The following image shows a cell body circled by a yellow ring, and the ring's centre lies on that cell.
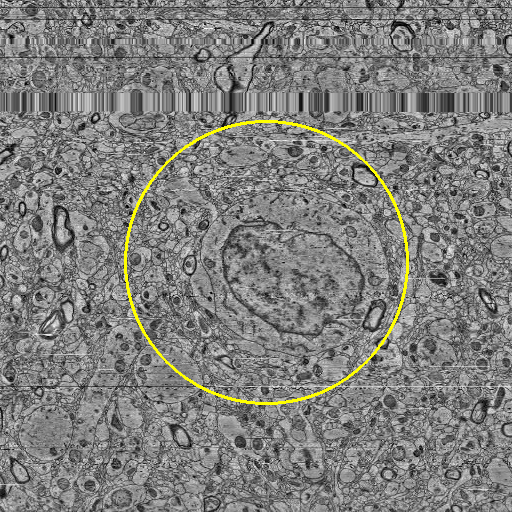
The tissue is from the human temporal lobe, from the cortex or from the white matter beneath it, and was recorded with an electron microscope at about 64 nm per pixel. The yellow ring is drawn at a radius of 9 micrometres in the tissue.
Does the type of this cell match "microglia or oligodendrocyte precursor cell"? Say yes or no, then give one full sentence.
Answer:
No, the cell at the ring's centre in this picture has a different type.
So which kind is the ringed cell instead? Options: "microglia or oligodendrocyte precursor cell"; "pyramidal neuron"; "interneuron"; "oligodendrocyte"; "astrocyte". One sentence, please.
Sitting at the ring centre is a pyramidal neuron.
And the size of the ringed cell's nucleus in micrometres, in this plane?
The nucleus has a long axis of about 9 micrometres and a short axis of about 7 micrometres in this plane.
